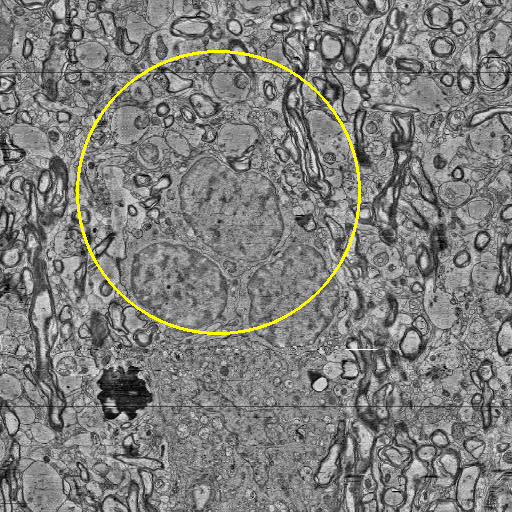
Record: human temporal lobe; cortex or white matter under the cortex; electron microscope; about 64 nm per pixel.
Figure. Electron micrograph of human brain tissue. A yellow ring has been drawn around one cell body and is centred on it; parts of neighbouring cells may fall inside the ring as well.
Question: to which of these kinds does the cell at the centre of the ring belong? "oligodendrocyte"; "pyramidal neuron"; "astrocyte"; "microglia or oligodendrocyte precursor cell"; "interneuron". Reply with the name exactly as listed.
oligodendrocyte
